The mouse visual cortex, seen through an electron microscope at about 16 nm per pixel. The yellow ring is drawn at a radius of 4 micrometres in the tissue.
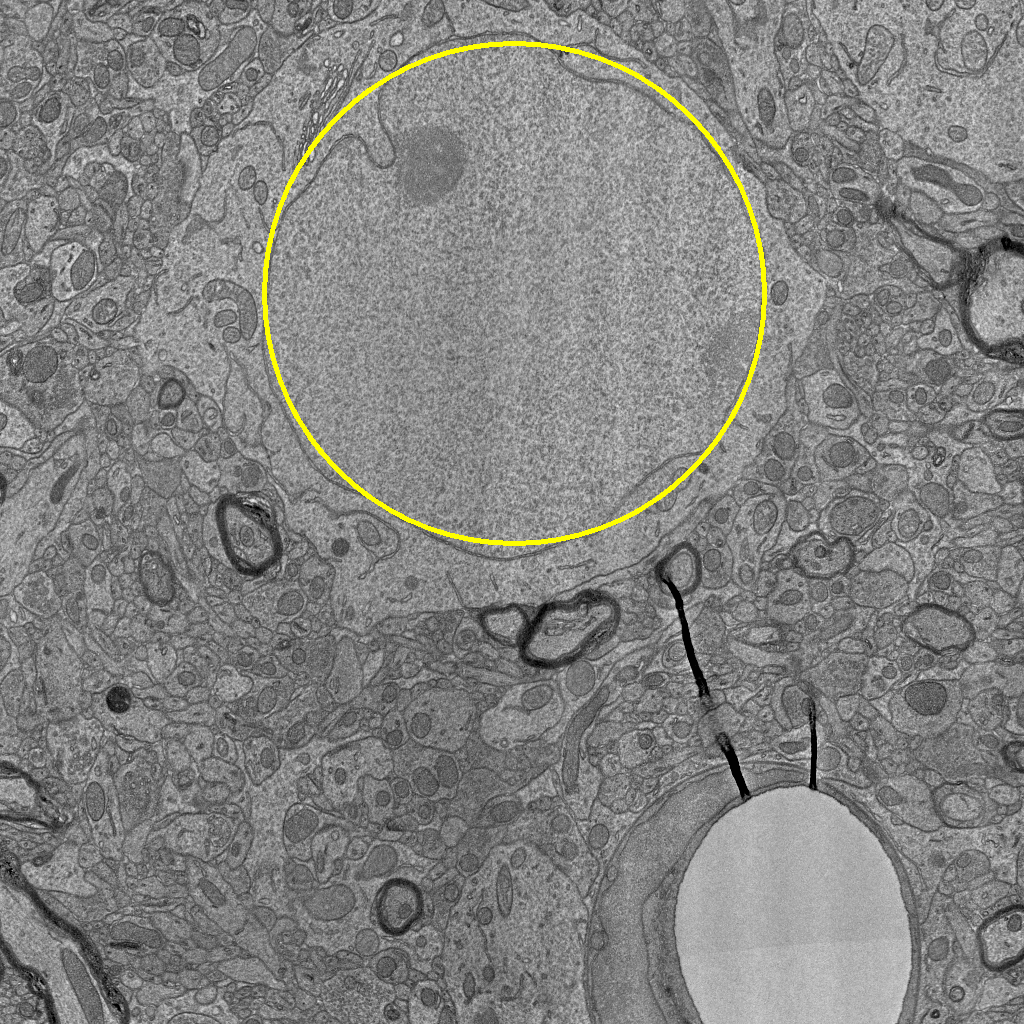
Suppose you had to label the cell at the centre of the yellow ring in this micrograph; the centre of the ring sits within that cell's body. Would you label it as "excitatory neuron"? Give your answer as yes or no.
Yes, I would label it that way.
